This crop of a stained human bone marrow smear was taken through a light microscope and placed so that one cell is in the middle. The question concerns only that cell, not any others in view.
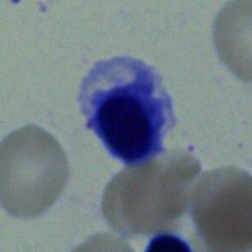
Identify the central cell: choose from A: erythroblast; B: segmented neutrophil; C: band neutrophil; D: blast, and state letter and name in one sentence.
What sits in the middle of the crop is an erythroblast, and option A is correct.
